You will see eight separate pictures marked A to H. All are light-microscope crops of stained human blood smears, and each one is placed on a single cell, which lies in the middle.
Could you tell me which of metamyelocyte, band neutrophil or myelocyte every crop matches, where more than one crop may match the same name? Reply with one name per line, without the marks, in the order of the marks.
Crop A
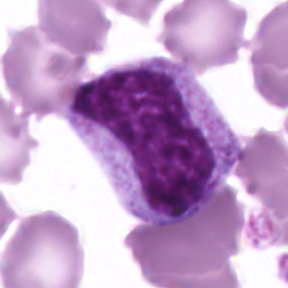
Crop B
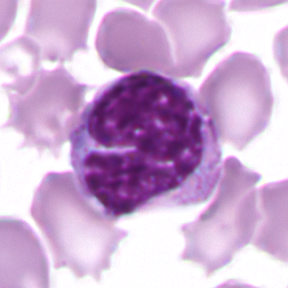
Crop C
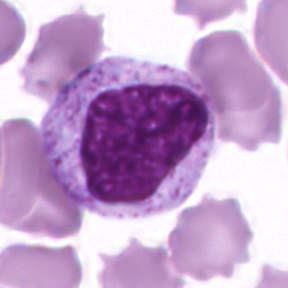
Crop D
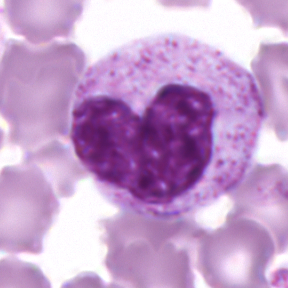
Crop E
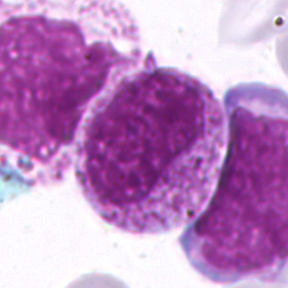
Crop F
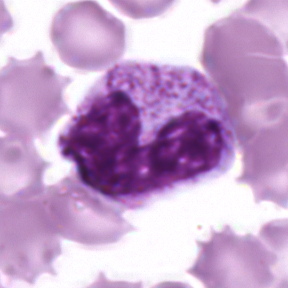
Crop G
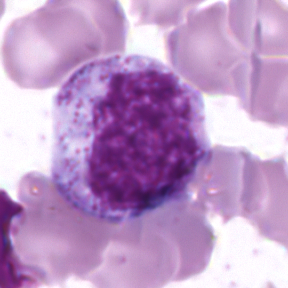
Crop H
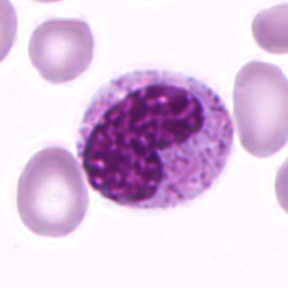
metamyelocyte
band neutrophil
metamyelocyte
metamyelocyte
myelocyte
band neutrophil
myelocyte
band neutrophil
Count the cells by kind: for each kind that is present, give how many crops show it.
metamyelocyte: 3
band neutrophil: 3
myelocyte: 2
